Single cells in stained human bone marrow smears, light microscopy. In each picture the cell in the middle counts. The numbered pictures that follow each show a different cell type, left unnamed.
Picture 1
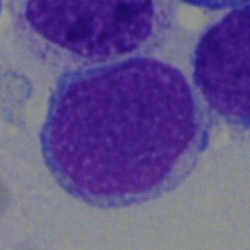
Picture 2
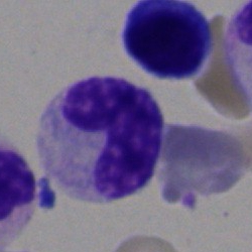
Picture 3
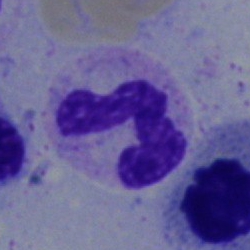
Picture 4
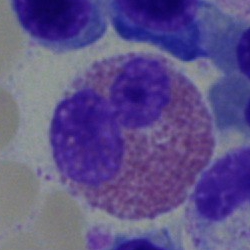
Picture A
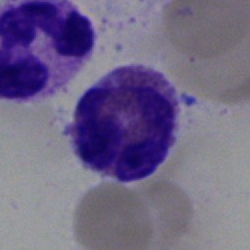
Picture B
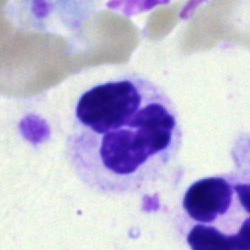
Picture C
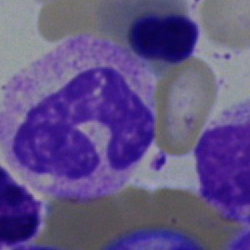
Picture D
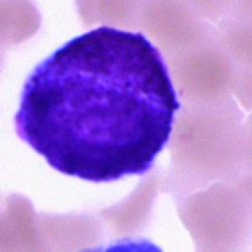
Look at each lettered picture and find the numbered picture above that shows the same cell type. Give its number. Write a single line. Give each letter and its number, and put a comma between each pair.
A 4, B 3, C 2, D 1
